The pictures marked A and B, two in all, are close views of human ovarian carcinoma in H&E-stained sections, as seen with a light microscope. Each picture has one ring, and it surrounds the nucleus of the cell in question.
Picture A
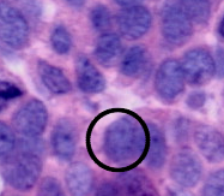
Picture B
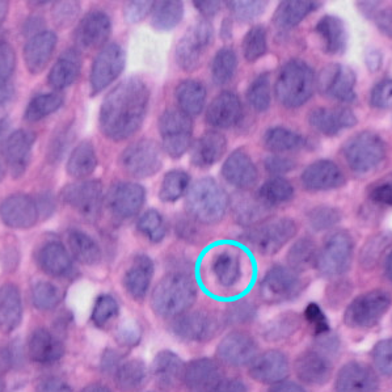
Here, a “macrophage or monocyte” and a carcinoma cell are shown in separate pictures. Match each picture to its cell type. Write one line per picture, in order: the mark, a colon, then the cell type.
A: carcinoma cell
B: macrophage or monocyte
